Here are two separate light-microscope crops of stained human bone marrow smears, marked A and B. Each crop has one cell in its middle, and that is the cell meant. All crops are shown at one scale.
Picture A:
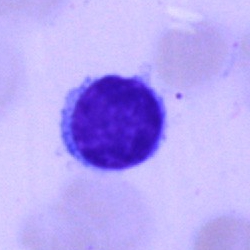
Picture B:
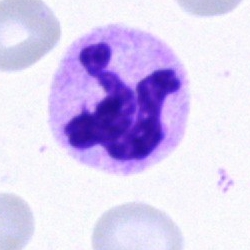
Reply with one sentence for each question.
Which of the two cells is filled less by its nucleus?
It is the cell in picture B that is filled less by its nucleus.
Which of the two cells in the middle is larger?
The cell in picture B is larger, with about 2 times the area of the one in picture A.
